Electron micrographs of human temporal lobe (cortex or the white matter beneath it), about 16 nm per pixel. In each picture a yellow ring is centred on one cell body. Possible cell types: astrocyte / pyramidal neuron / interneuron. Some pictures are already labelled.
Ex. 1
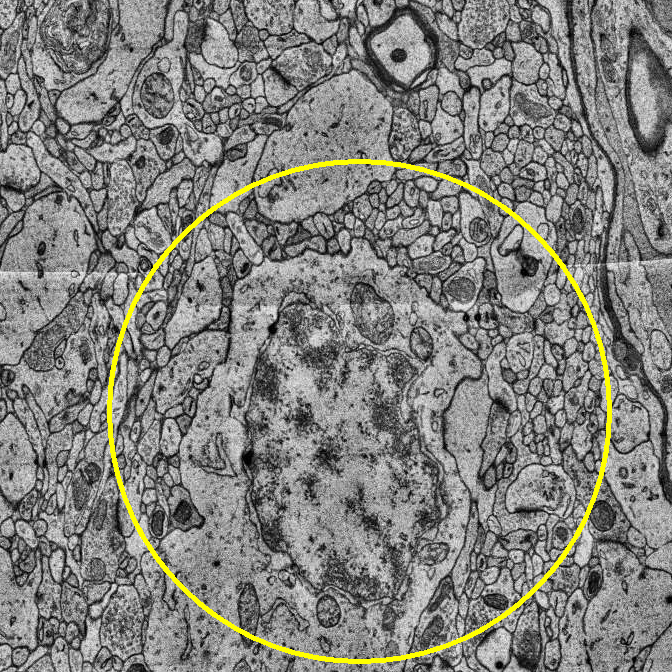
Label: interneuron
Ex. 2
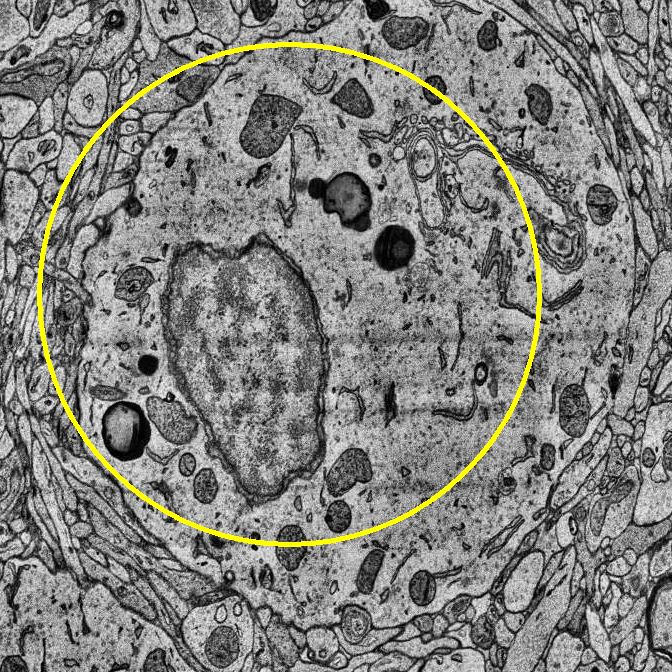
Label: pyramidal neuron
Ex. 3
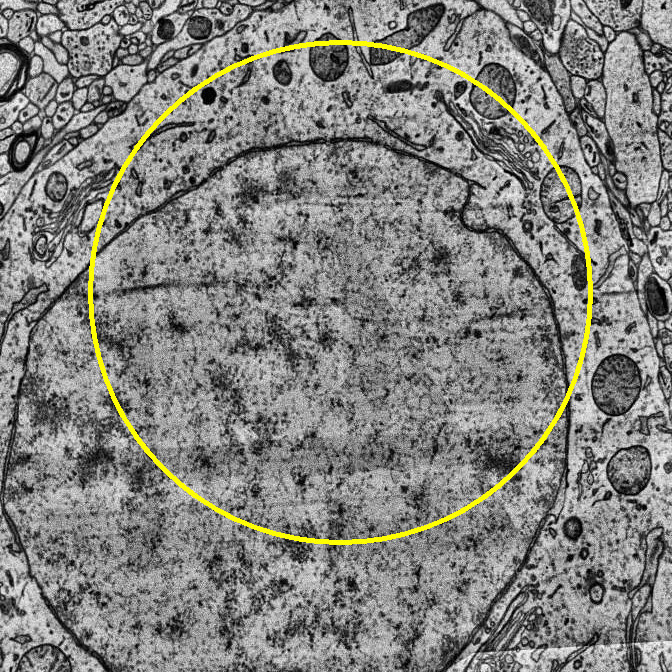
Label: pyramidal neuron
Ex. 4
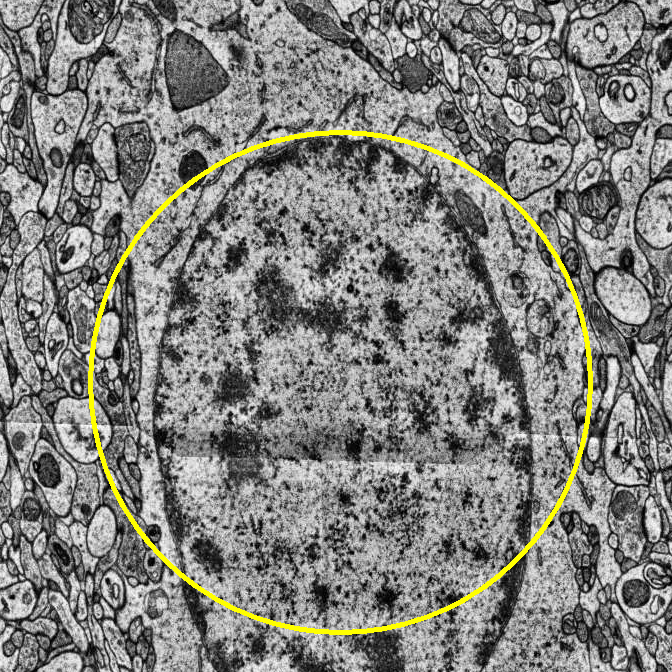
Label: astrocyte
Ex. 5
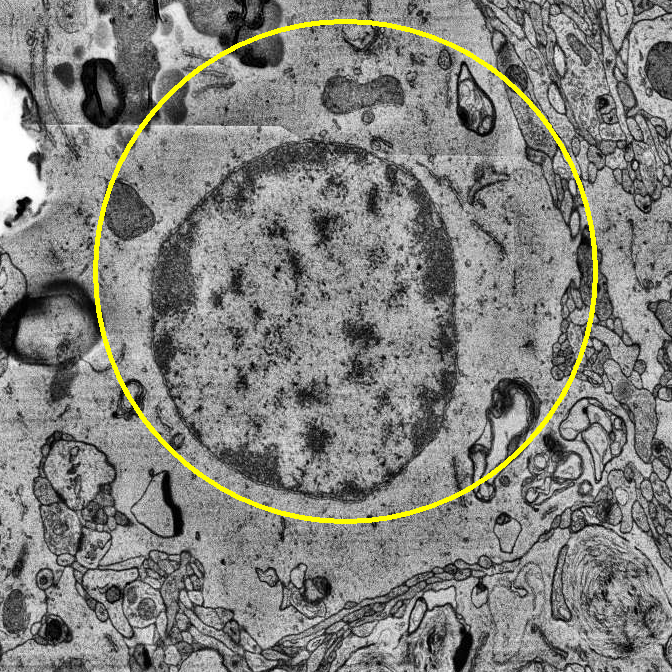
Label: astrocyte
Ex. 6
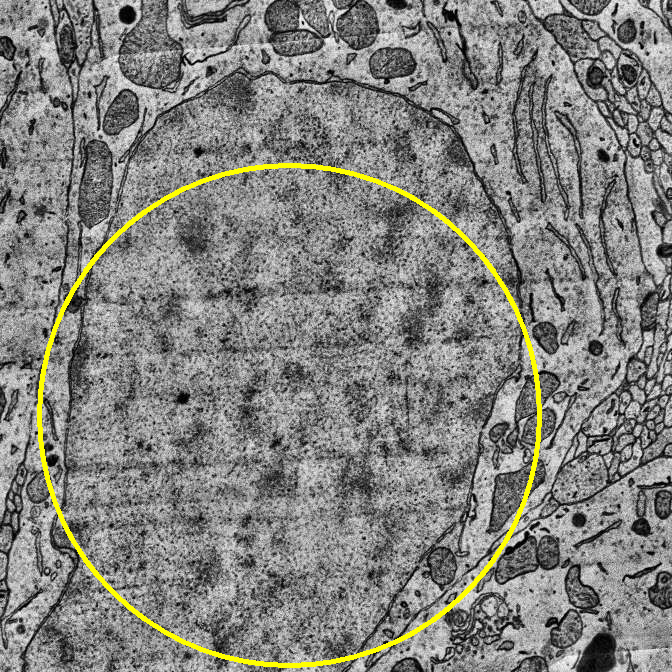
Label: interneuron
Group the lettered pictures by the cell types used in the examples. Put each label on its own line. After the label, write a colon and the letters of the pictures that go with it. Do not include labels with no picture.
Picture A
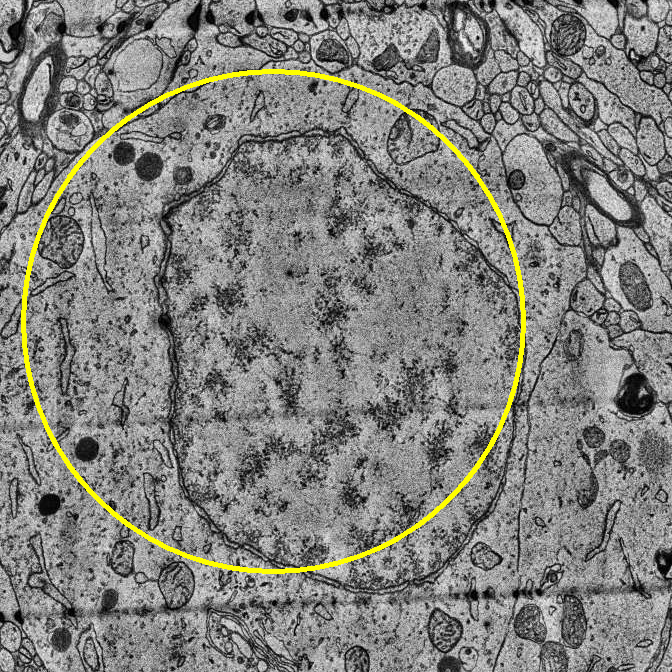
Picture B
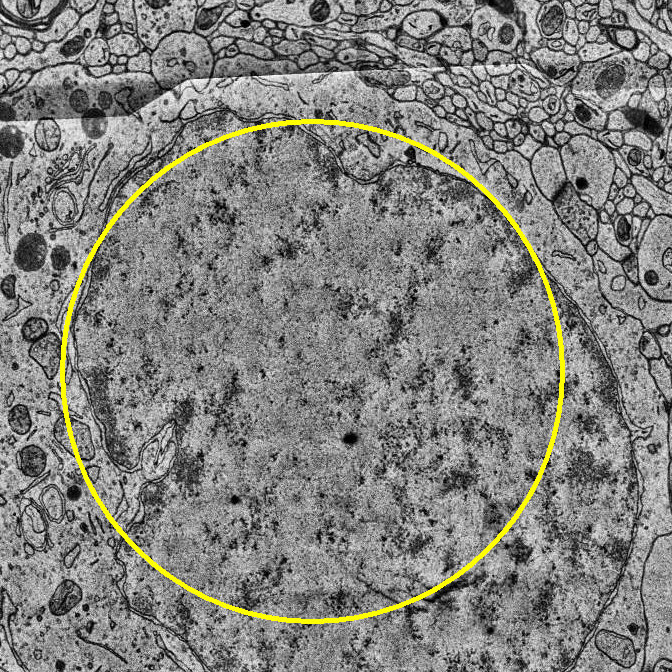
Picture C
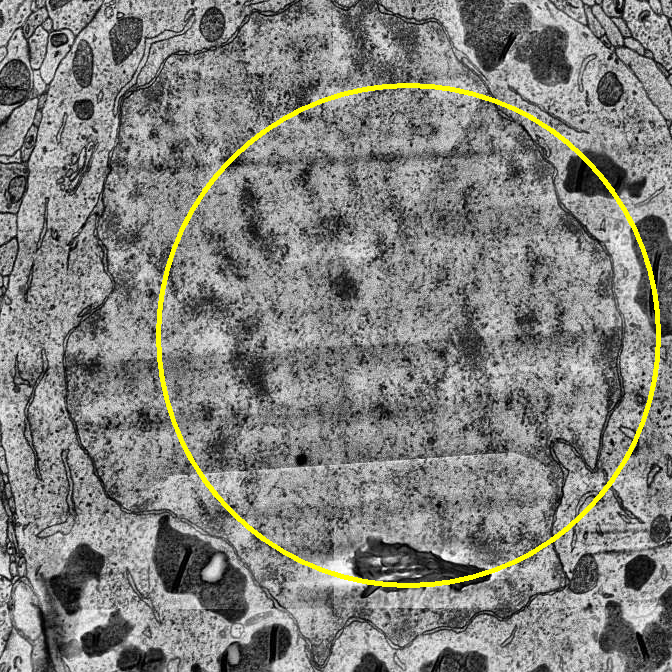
pyramidal neuron: A
interneuron: B, C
